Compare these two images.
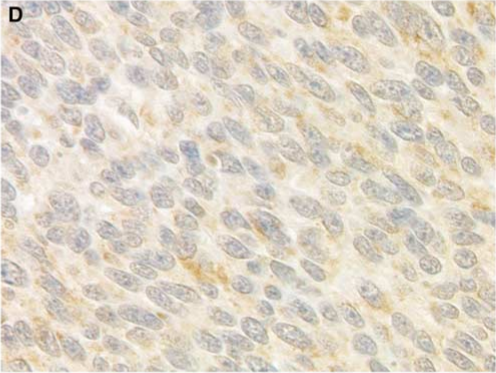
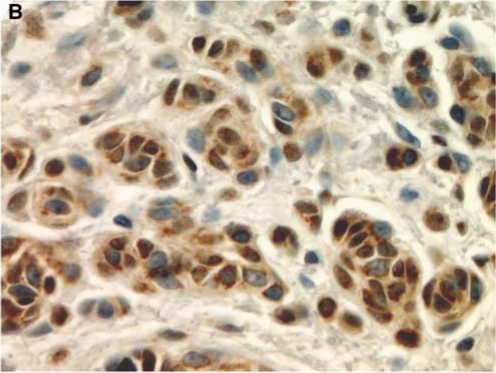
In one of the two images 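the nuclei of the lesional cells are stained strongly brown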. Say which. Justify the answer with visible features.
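The second image. First image: nuclei are mostly pale blue-grey with only faint brown tinge. Second image: many nuclei in the cell nests are dark brown.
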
